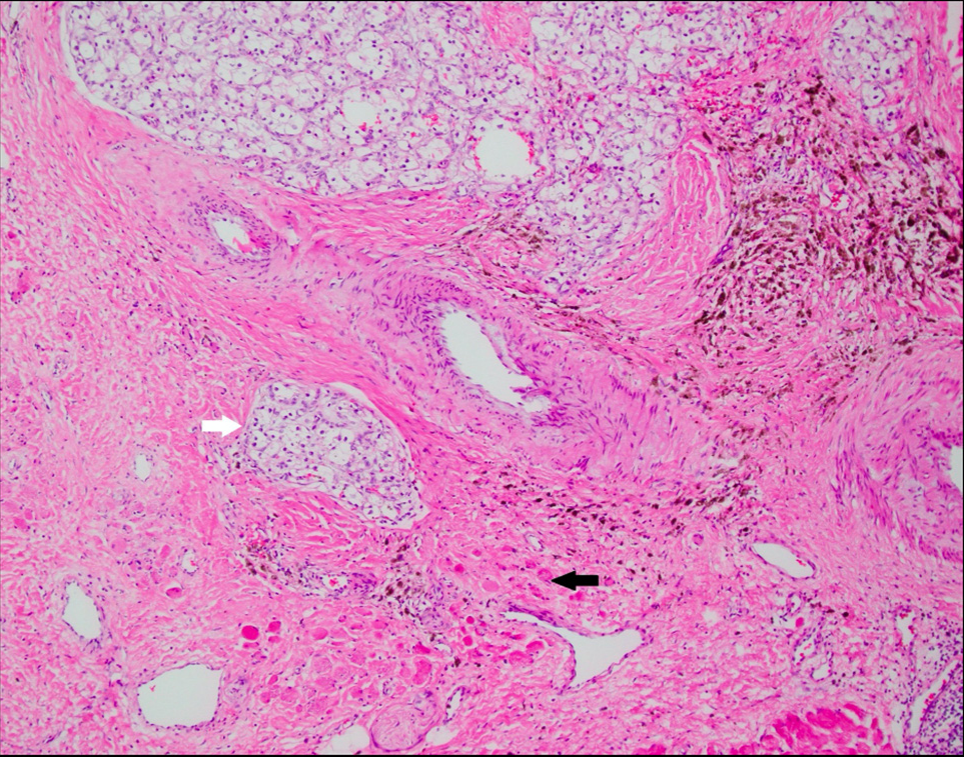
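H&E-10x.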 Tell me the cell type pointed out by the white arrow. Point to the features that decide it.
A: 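The arrow points to a rounded nest of cells with pale, empty-looking cytoplasm and small dark nuclei. Larger nests of the same pale cells fill the top of the field. The nests are separated by delicate vessels and surrounded by pink fibrous tissue. The answer: Clear cell renal cell carcinoma.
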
